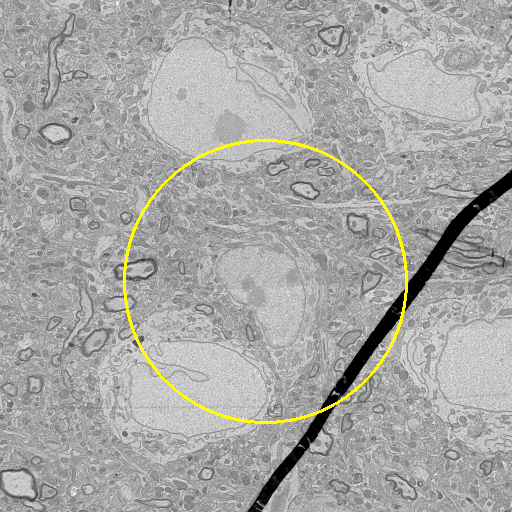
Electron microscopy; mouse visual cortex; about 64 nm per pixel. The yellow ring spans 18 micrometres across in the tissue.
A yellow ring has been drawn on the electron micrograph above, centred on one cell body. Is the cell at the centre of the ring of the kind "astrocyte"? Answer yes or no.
yes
